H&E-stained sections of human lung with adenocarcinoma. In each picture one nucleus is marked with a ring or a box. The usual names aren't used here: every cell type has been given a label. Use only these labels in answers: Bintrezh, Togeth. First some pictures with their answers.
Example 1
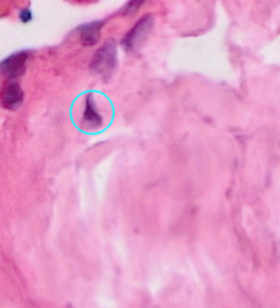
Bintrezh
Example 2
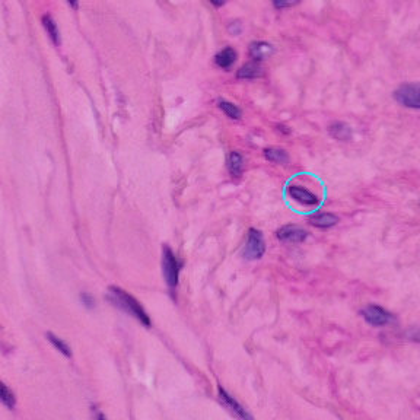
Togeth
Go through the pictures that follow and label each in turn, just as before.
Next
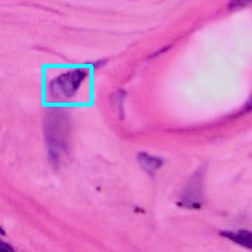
Bintrezh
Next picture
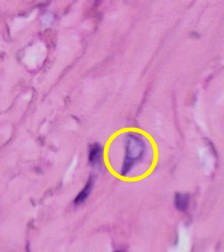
Bintrezh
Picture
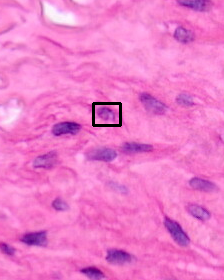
Togeth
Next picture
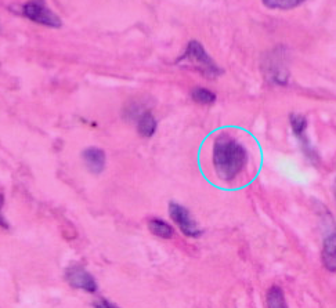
Bintrezh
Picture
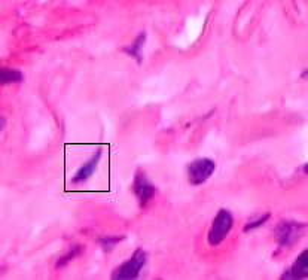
Bintrezh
